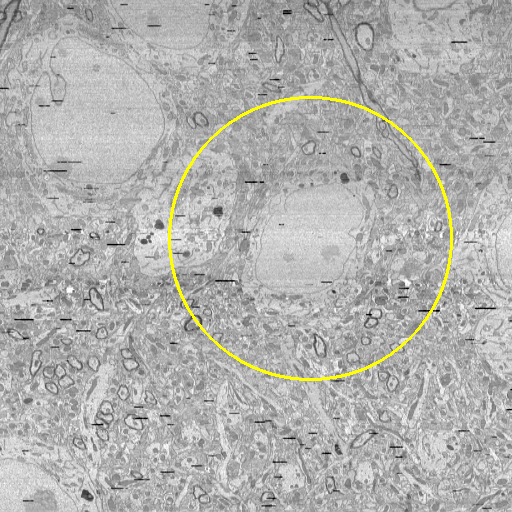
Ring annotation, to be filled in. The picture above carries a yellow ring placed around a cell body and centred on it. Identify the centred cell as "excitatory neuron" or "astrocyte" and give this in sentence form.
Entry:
The cell in the middle of the ring is an excitatory neuron.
